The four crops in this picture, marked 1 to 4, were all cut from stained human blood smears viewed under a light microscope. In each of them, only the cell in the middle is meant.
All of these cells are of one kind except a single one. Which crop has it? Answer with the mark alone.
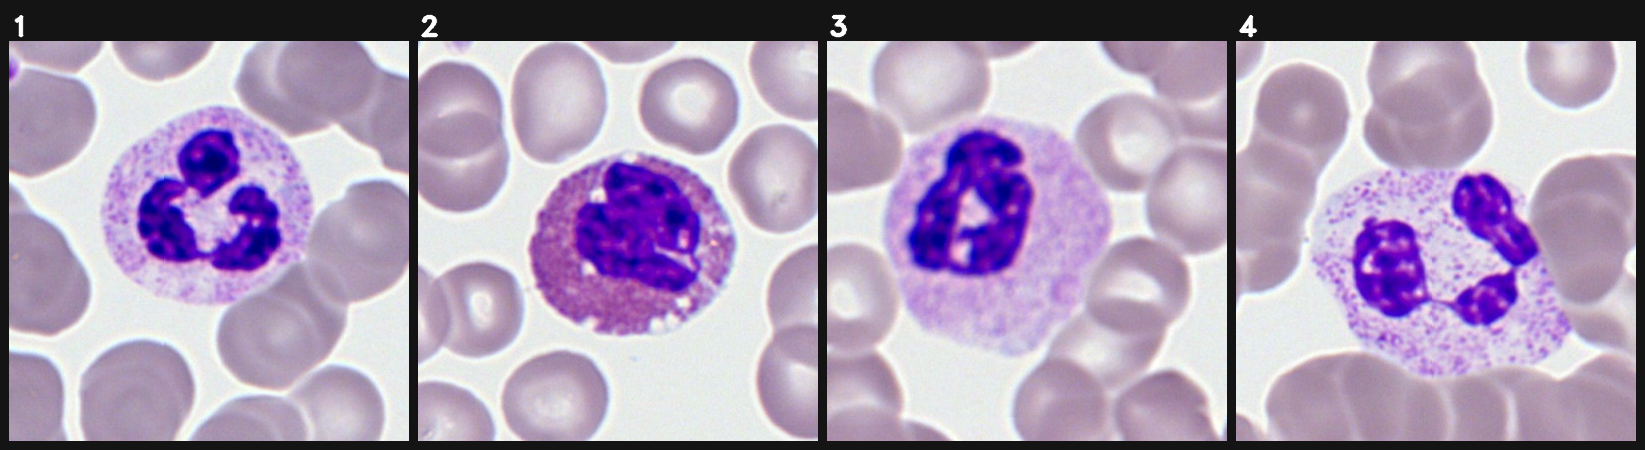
2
